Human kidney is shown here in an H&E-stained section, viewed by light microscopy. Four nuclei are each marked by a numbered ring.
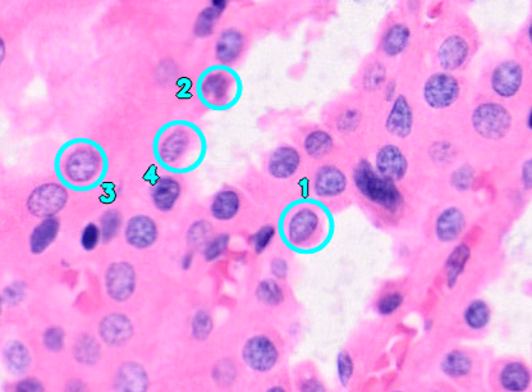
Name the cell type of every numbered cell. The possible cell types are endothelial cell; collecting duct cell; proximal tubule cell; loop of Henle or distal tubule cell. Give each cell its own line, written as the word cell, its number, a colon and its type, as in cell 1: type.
cell 1: loop of Henle or distal tubule cell
cell 2: loop of Henle or distal tubule cell
cell 3: proximal tubule cell
cell 4: loop of Henle or distal tubule cell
